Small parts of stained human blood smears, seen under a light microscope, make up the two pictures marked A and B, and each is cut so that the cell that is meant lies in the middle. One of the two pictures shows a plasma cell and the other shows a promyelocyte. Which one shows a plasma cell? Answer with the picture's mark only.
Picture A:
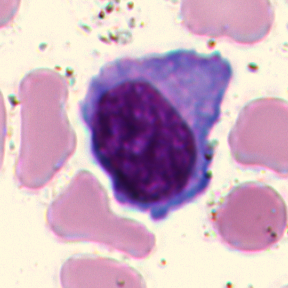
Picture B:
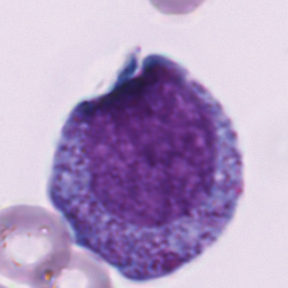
A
